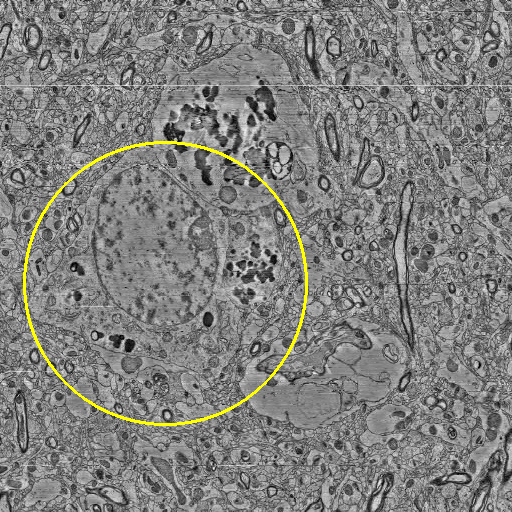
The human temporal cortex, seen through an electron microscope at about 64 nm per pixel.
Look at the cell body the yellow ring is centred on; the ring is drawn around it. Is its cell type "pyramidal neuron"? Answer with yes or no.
No, its cell type is another.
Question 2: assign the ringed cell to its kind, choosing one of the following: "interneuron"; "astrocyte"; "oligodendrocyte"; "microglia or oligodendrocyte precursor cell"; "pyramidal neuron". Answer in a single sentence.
That cell in the ring is an interneuron instead.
